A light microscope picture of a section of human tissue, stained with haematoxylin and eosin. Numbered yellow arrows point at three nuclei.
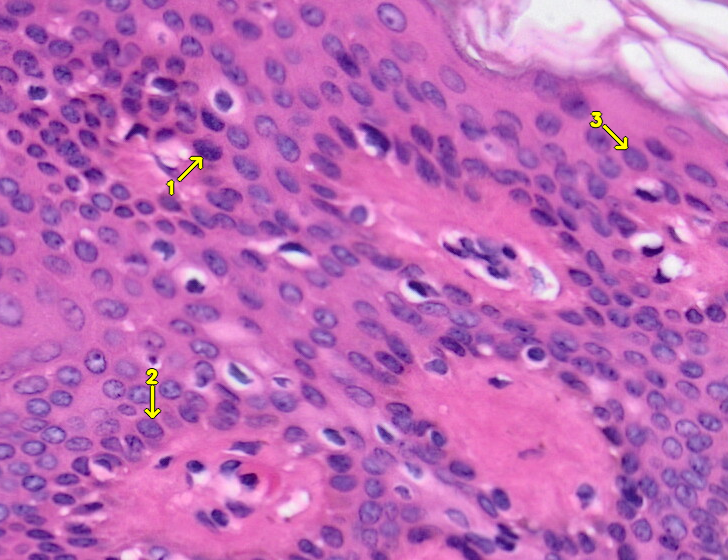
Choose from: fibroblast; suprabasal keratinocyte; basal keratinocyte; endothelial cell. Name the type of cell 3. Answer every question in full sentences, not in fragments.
The cell to which the number 3 is assigned is a suprabasal keratinocyte.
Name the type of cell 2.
The cell that is numbered 2 is a basal keratinocyte.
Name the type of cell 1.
The cell indicated by marker 1 is a basal keratinocyte in this section.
